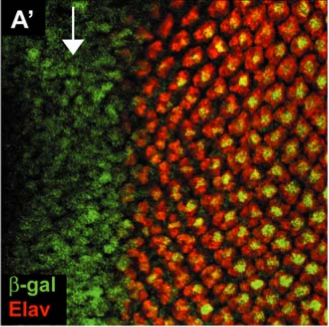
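Developing eye epithelium with the morphogenetic furrow running vertically near the left and photoreceptor clusters posterior to it. Within each cluster one small point is brightly green, lying among the red cells.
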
